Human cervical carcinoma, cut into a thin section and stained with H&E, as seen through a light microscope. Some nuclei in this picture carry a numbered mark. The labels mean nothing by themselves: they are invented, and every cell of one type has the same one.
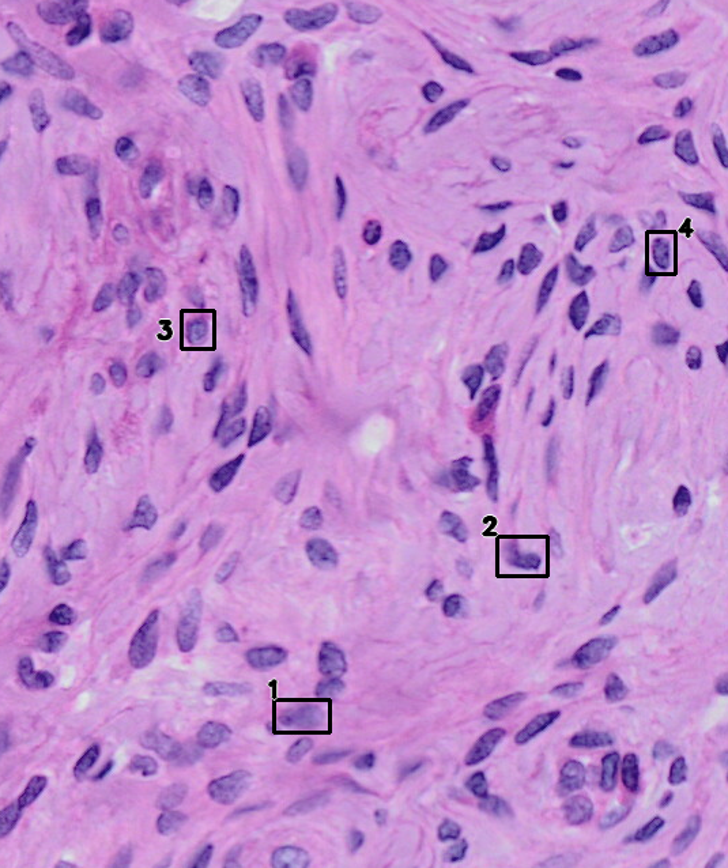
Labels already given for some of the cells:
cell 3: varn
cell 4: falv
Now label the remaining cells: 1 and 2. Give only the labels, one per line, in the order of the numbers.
falv
falv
